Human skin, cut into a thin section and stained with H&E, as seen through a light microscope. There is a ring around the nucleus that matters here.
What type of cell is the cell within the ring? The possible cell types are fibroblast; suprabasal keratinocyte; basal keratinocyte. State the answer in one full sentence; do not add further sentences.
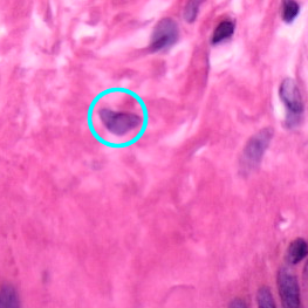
In the tissue at hand, the cell within the ring is a fibroblast.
